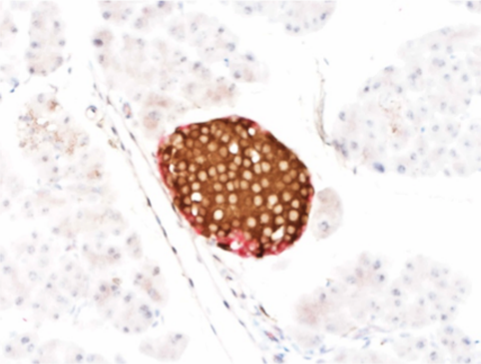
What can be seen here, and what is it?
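A compact oval pancreatic islet lies among lobules of pale exocrine acinar tissue with blue-stained nuclei, next to a thin band of connective tissue with elongated cells. The islet core is filled with brown-stained cells whose paler nuclei give a dotted pattern, and a few red-stained cells sit at the periphery.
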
